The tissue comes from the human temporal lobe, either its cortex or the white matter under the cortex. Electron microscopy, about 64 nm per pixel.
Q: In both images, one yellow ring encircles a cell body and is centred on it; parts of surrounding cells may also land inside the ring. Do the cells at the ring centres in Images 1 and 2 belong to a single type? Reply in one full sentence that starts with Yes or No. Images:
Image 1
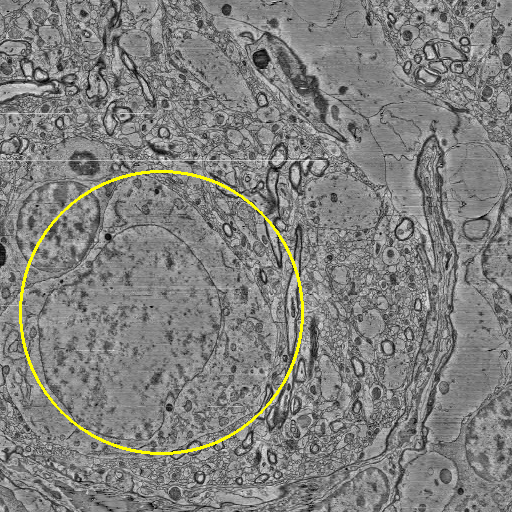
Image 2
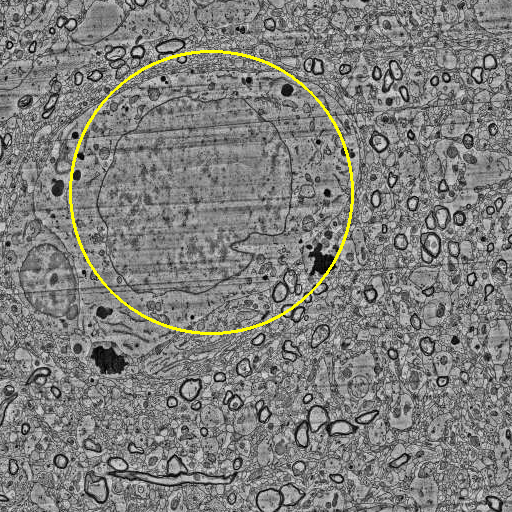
Yes, the cells at the ring centres in Images 1 and 2 are of a single type.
